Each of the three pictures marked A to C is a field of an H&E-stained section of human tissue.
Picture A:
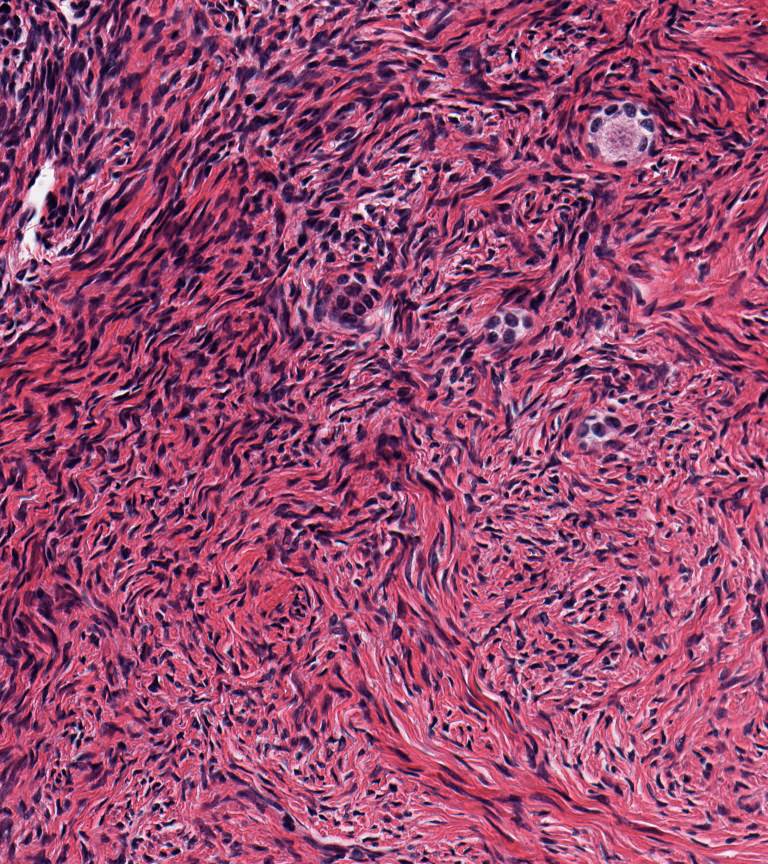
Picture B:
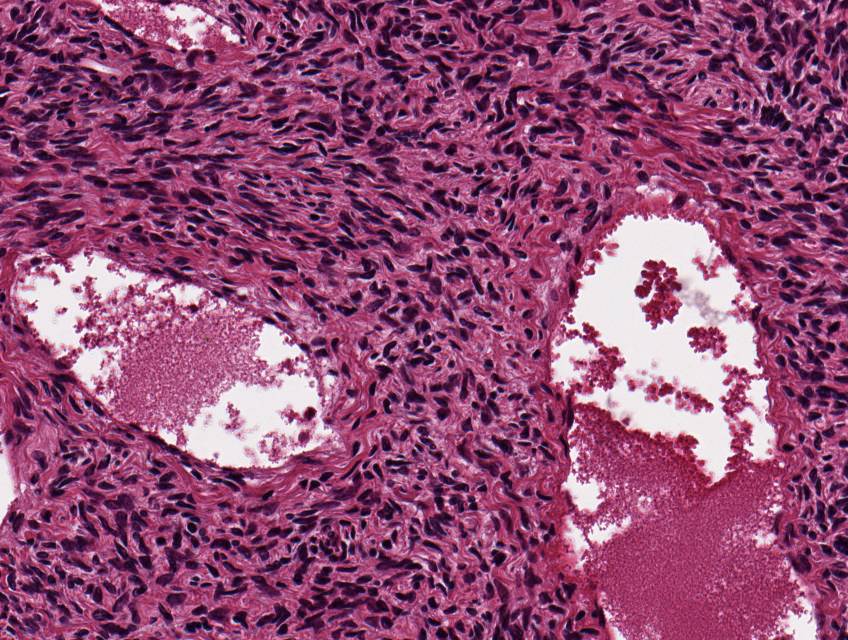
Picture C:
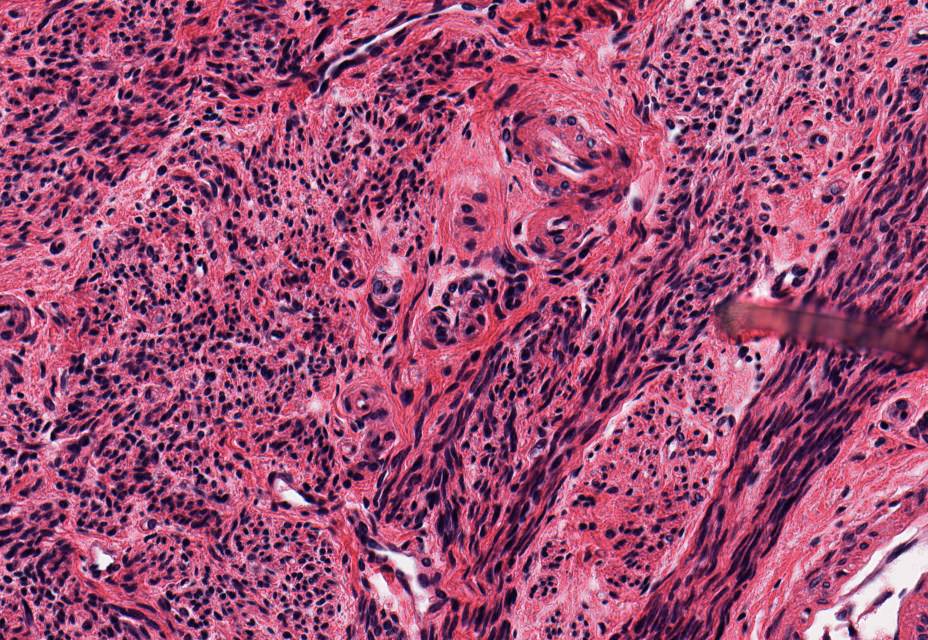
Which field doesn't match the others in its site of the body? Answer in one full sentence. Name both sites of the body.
The others come from the ovary, but picture C comes from the body of the uterus.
